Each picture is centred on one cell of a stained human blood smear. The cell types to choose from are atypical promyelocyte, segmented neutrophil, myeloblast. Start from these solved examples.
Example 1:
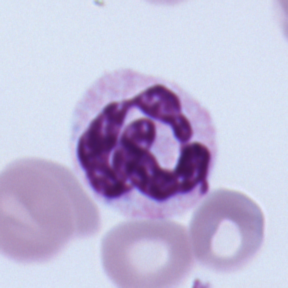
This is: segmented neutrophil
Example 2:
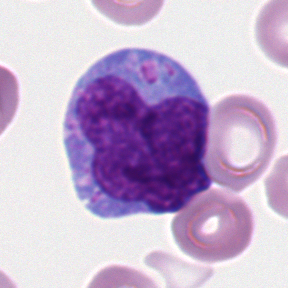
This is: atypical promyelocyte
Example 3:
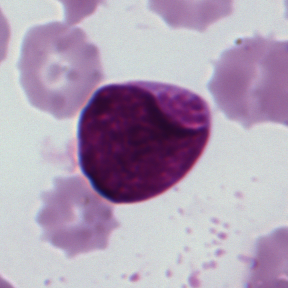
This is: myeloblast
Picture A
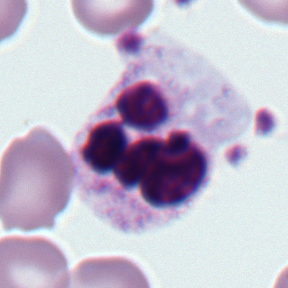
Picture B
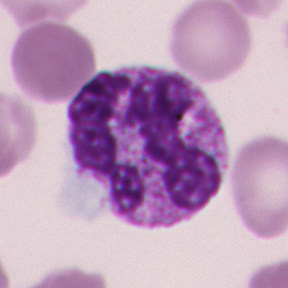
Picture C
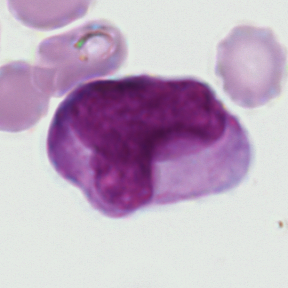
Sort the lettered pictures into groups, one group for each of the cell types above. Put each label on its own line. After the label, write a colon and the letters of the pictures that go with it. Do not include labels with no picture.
atypical promyelocyte: C
segmented neutrophil: A, B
